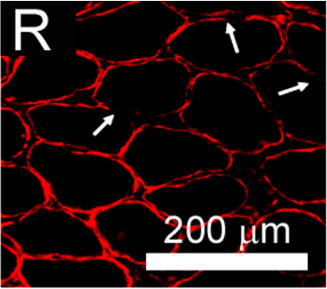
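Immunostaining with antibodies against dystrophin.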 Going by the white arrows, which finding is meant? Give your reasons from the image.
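The red rim around the fibers is broken at the places the arrows point to. Elsewhere the red outline runs around the fiber edge. The answer: disruptions.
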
